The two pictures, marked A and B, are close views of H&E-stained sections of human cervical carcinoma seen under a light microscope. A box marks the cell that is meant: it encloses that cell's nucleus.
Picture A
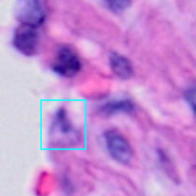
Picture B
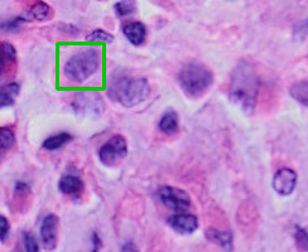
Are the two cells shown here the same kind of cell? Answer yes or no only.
no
